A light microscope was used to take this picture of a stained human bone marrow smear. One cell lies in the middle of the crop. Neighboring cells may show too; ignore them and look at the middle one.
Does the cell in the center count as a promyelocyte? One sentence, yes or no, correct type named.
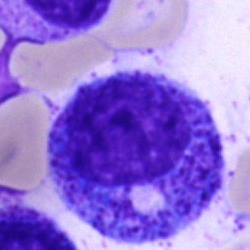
Yes, as regards the cell in the middle, it is a promyelocyte.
